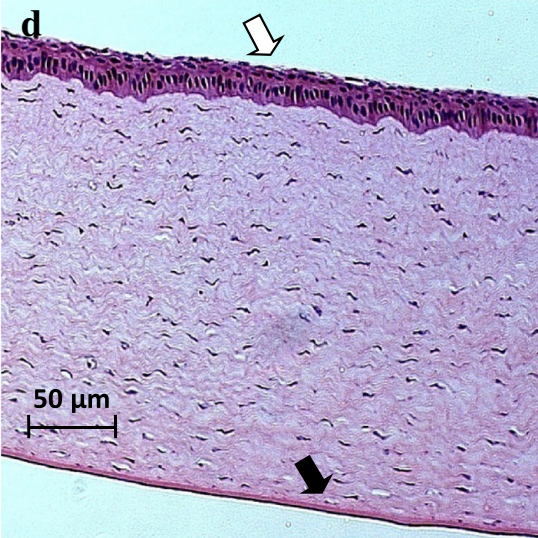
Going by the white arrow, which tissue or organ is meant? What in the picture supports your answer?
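The white arrow points to a dense, several-cells-thick layer lining the upper surface. Nuclei are crowded in this surface layer, while the tissue beneath has few flattened nuclei. On this evidence: epithelium.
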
